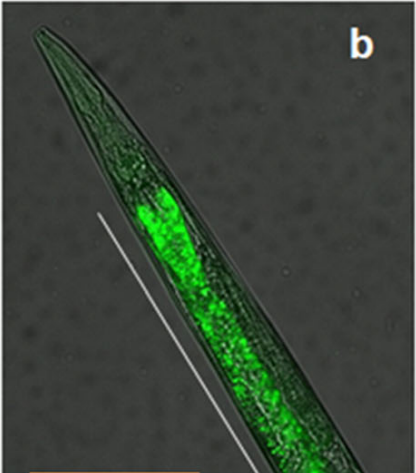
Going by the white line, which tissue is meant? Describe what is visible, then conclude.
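The tapered head end of the worm is at upper left. A broad green tube begins some way behind the head tip and extends toward the rear along the white line.
Answer: intestine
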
